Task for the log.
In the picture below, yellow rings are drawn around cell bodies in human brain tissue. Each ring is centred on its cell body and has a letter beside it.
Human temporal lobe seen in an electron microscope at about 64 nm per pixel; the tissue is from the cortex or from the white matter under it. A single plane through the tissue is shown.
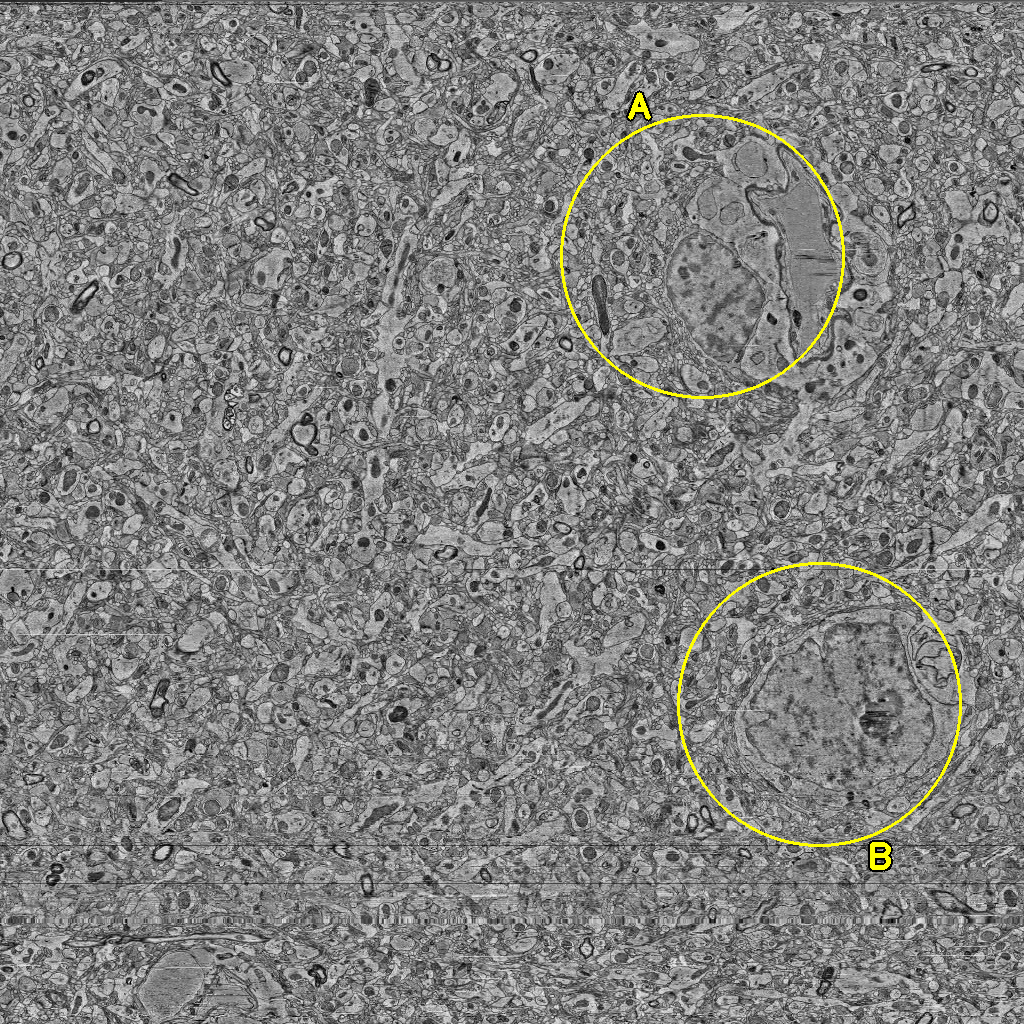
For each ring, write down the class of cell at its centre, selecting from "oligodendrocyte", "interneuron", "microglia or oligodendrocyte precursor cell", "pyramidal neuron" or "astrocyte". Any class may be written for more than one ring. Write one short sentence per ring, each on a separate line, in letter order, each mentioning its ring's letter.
The cell inside ring A, at its centre, is an oligodendrocyte.
The cell inside ring B, at its centre, is an interneuron.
